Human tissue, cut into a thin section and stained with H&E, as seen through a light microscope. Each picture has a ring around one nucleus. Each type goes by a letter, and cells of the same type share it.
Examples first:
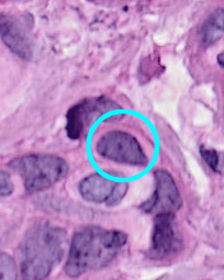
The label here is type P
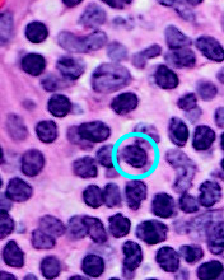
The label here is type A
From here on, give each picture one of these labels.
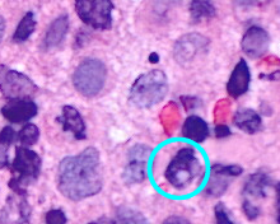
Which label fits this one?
type P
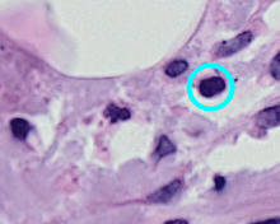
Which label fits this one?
type A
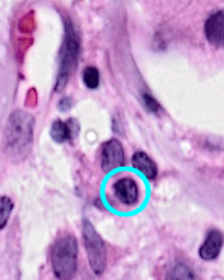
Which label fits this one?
type A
